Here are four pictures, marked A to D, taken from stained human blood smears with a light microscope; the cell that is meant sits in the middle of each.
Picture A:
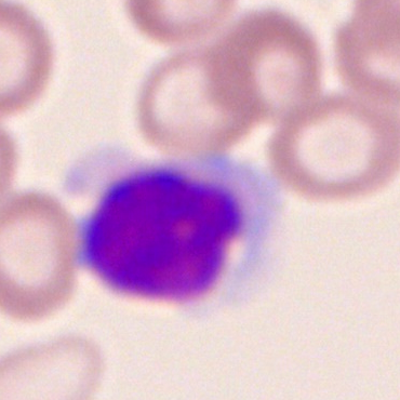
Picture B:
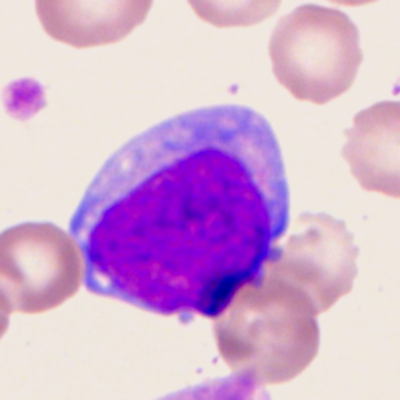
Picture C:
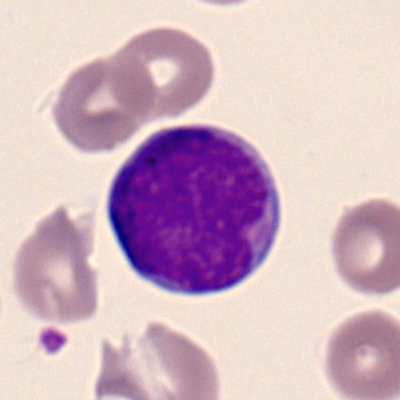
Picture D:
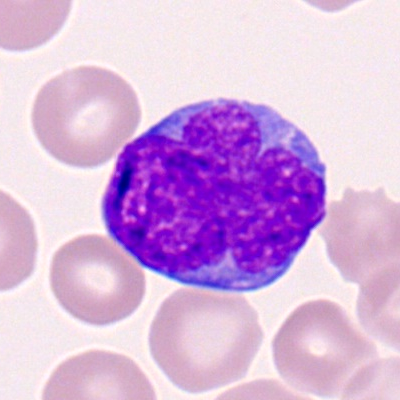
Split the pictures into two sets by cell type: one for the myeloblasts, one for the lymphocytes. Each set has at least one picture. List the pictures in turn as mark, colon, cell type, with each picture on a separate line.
A: lymphocyte
B: myeloblast
C: myeloblast
D: myeloblast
